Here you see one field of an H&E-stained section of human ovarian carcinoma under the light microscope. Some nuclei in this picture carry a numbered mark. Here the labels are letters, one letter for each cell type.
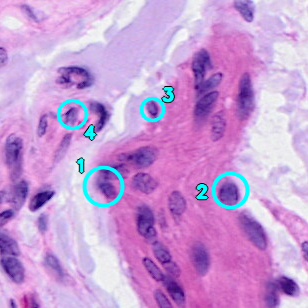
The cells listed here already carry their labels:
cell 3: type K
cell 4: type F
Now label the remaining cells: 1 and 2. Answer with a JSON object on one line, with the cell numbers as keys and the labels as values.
{"1": "type K", "2": "type K"}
